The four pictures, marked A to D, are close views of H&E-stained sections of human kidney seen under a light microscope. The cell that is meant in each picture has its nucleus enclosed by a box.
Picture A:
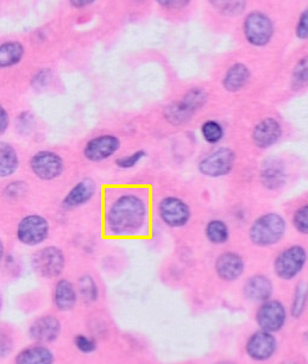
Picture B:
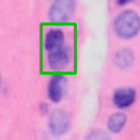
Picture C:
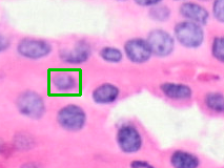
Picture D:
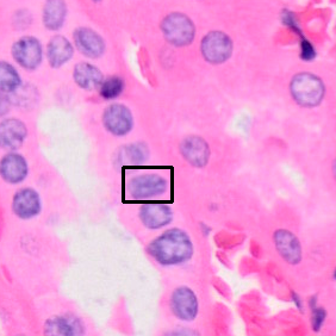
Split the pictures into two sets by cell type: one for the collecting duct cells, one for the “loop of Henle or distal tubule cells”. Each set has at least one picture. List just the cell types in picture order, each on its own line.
loop of Henle or distal tubule cell
collecting duct cell
loop of Henle or distal tubule cell
collecting duct cell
